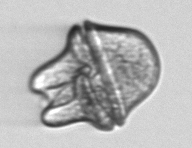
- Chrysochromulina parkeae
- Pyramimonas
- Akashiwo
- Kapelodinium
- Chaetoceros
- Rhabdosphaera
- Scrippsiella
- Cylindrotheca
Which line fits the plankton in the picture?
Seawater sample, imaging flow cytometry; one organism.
Akashiwo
